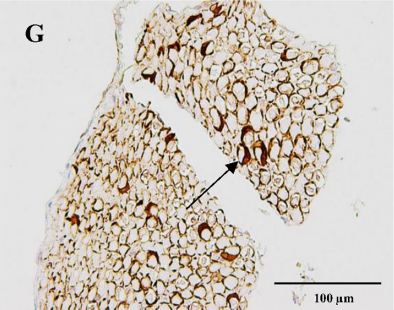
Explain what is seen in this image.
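Cross-sectioned nerve fascicles made of many closely packed round nerve fibre profiles. Schwann cells ensheathing the axons appear as brown rings, some of them thick and dark brown, around pale central axons.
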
